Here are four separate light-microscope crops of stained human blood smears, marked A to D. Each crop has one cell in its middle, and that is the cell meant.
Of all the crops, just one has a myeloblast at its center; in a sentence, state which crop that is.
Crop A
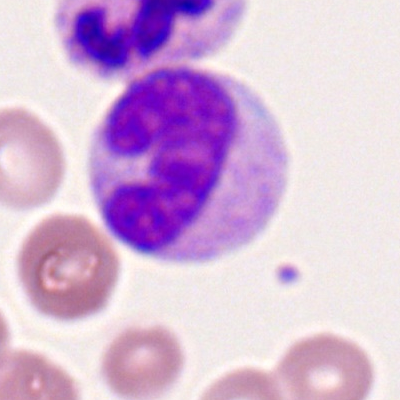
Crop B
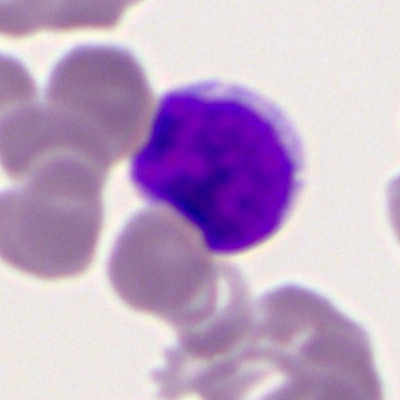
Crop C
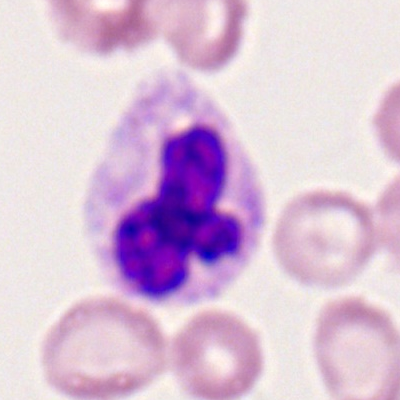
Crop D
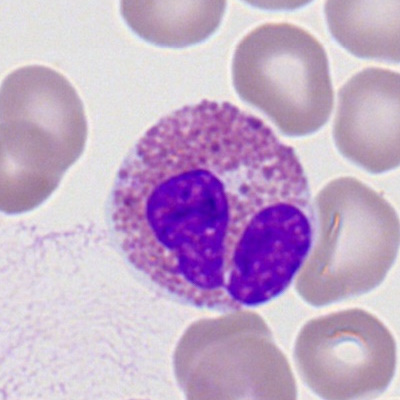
The crop with a myeloblast at its center is crop B.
